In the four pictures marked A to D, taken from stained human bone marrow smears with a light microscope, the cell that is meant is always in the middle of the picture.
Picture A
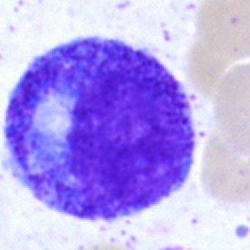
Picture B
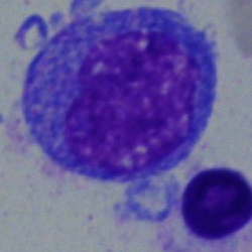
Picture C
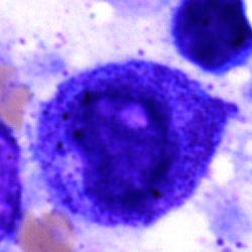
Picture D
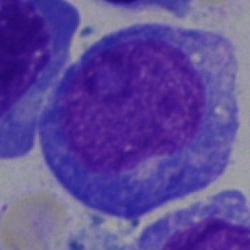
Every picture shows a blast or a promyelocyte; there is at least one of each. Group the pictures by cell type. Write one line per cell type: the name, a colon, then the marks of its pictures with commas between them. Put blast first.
blast: B, D
promyelocyte: A, C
